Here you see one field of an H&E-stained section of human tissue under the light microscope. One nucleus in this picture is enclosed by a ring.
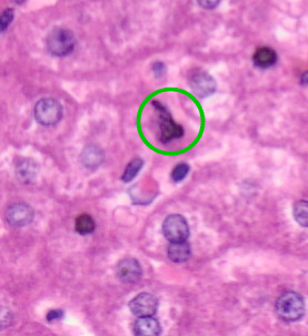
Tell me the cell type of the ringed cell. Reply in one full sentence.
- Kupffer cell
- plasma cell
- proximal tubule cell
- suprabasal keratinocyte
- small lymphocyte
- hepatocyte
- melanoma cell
The identity of the ringed cell: it is a Kupffer cell.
